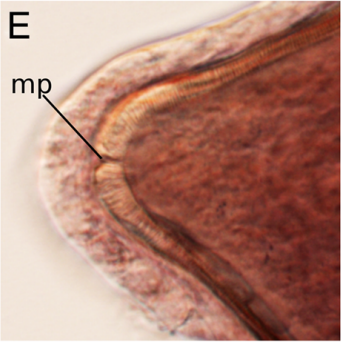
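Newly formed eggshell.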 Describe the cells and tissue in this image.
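At that point a small pore interrupts the shell. A pale, finely granular layer lies outside the shell, and darker reddish-brown contents fill the interior.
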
